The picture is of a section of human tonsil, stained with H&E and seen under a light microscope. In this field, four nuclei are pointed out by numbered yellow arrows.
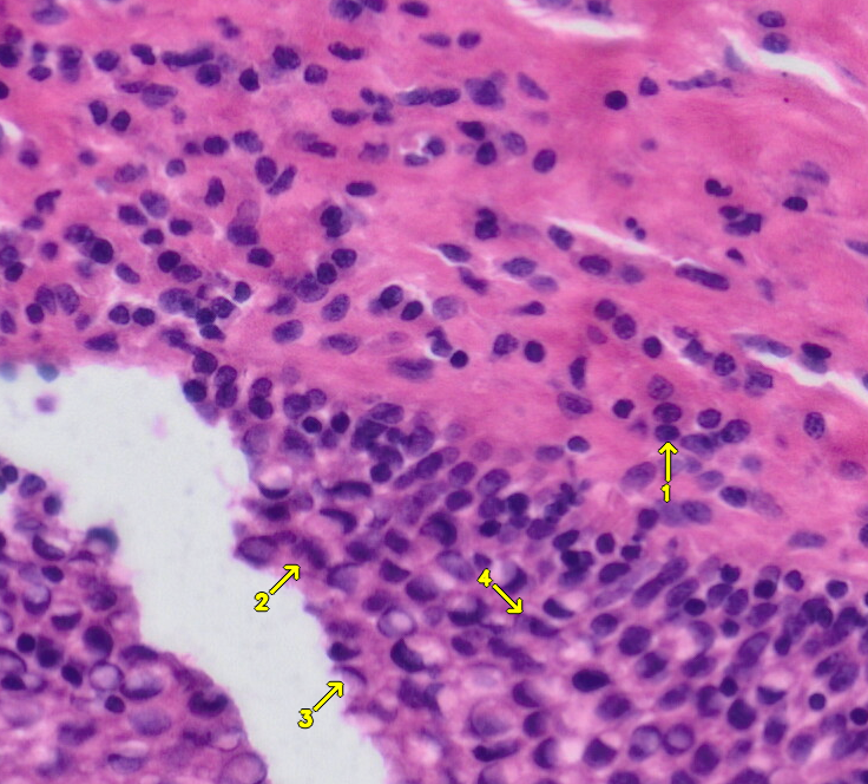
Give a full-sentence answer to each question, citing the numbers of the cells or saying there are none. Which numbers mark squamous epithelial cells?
The cells that have numbers 2, 3 and 4 are squamous epithelial cells.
